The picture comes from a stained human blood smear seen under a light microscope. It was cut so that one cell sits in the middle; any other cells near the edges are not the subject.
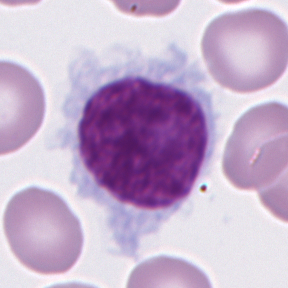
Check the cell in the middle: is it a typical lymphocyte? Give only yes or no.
no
